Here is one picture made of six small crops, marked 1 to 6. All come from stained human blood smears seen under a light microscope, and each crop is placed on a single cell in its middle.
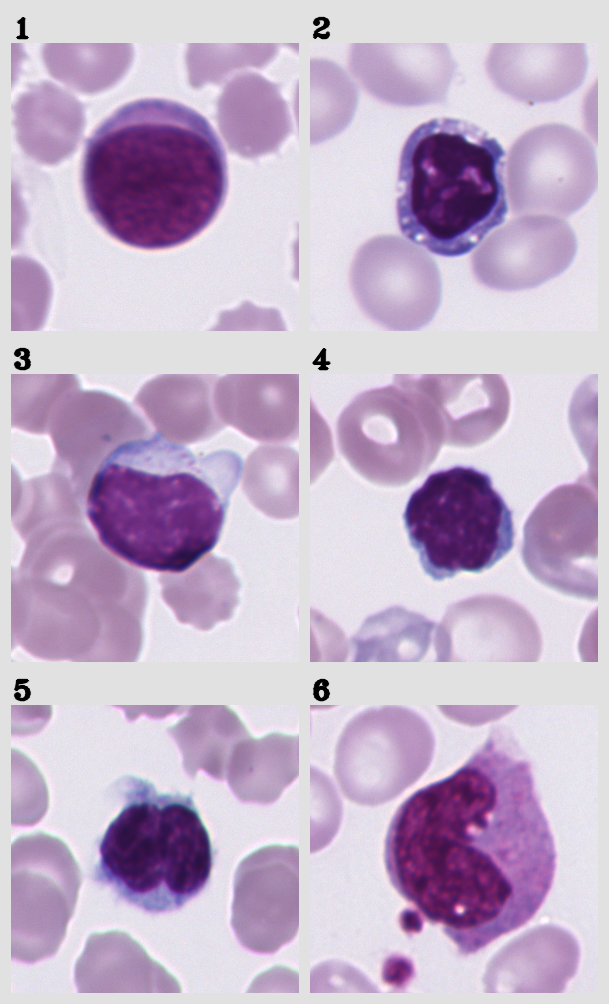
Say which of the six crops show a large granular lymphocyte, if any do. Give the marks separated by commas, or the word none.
2, 3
